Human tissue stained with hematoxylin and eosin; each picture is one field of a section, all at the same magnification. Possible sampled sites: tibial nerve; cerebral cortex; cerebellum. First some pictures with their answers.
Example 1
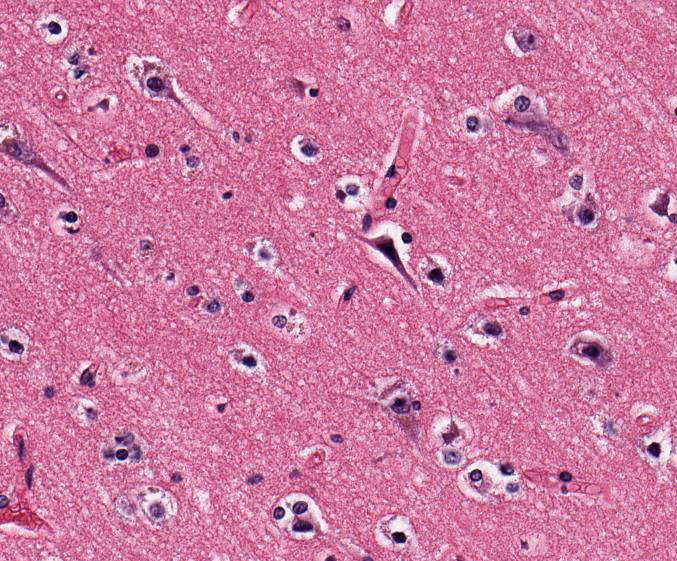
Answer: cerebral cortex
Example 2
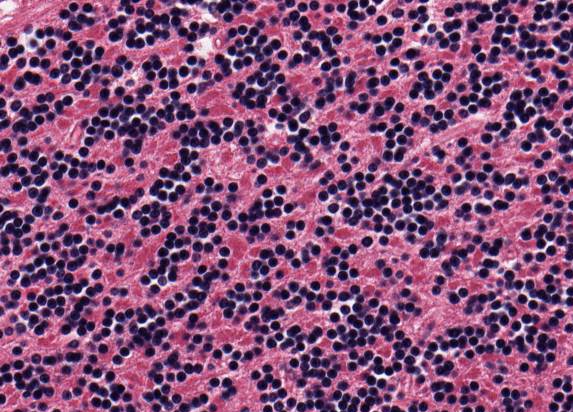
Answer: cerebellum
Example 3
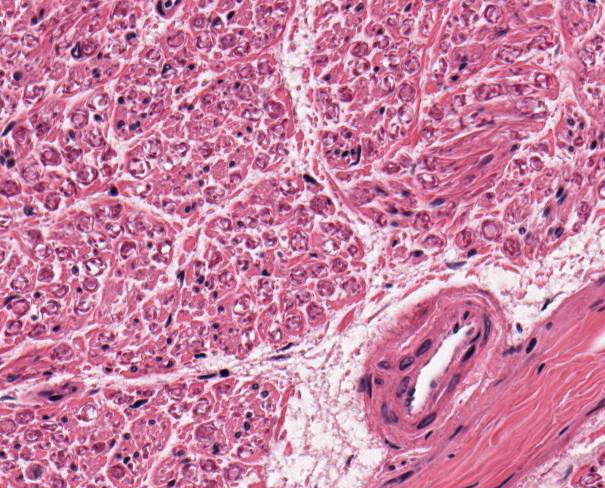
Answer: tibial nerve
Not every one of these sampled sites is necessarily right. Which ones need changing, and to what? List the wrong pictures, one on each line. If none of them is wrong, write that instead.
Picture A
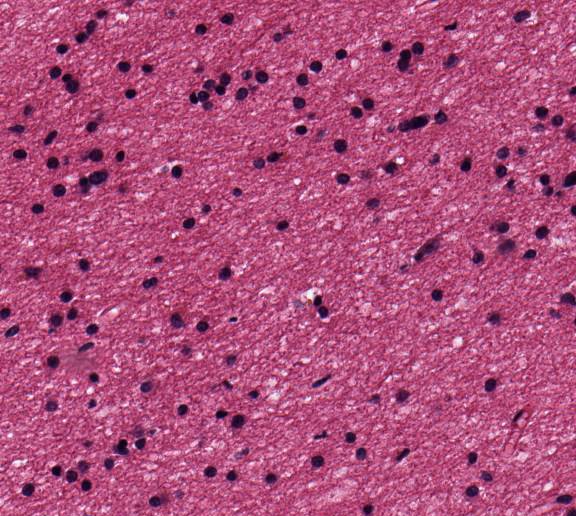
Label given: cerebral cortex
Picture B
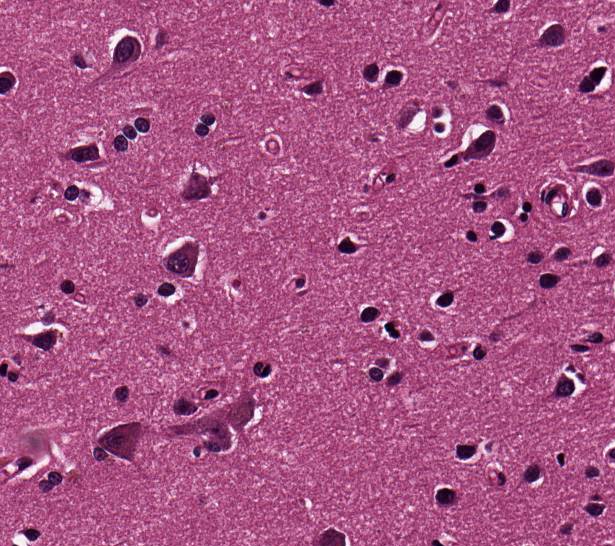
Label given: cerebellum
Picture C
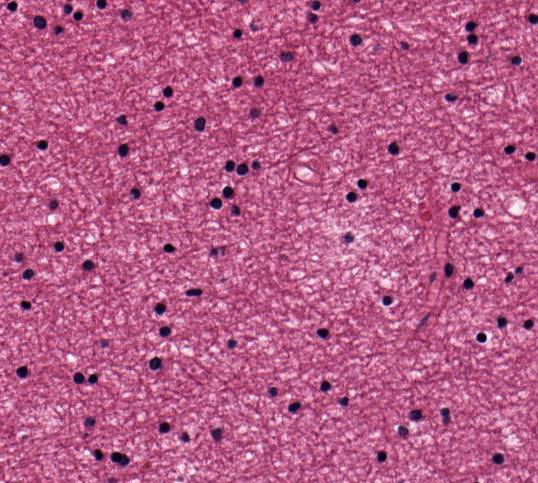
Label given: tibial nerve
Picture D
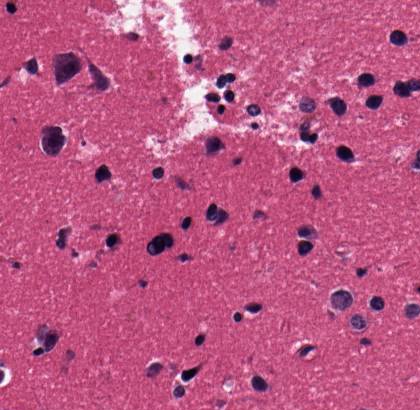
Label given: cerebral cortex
B: change cerebellum to cerebral cortex
C: change tibial nerve to cerebral cortex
